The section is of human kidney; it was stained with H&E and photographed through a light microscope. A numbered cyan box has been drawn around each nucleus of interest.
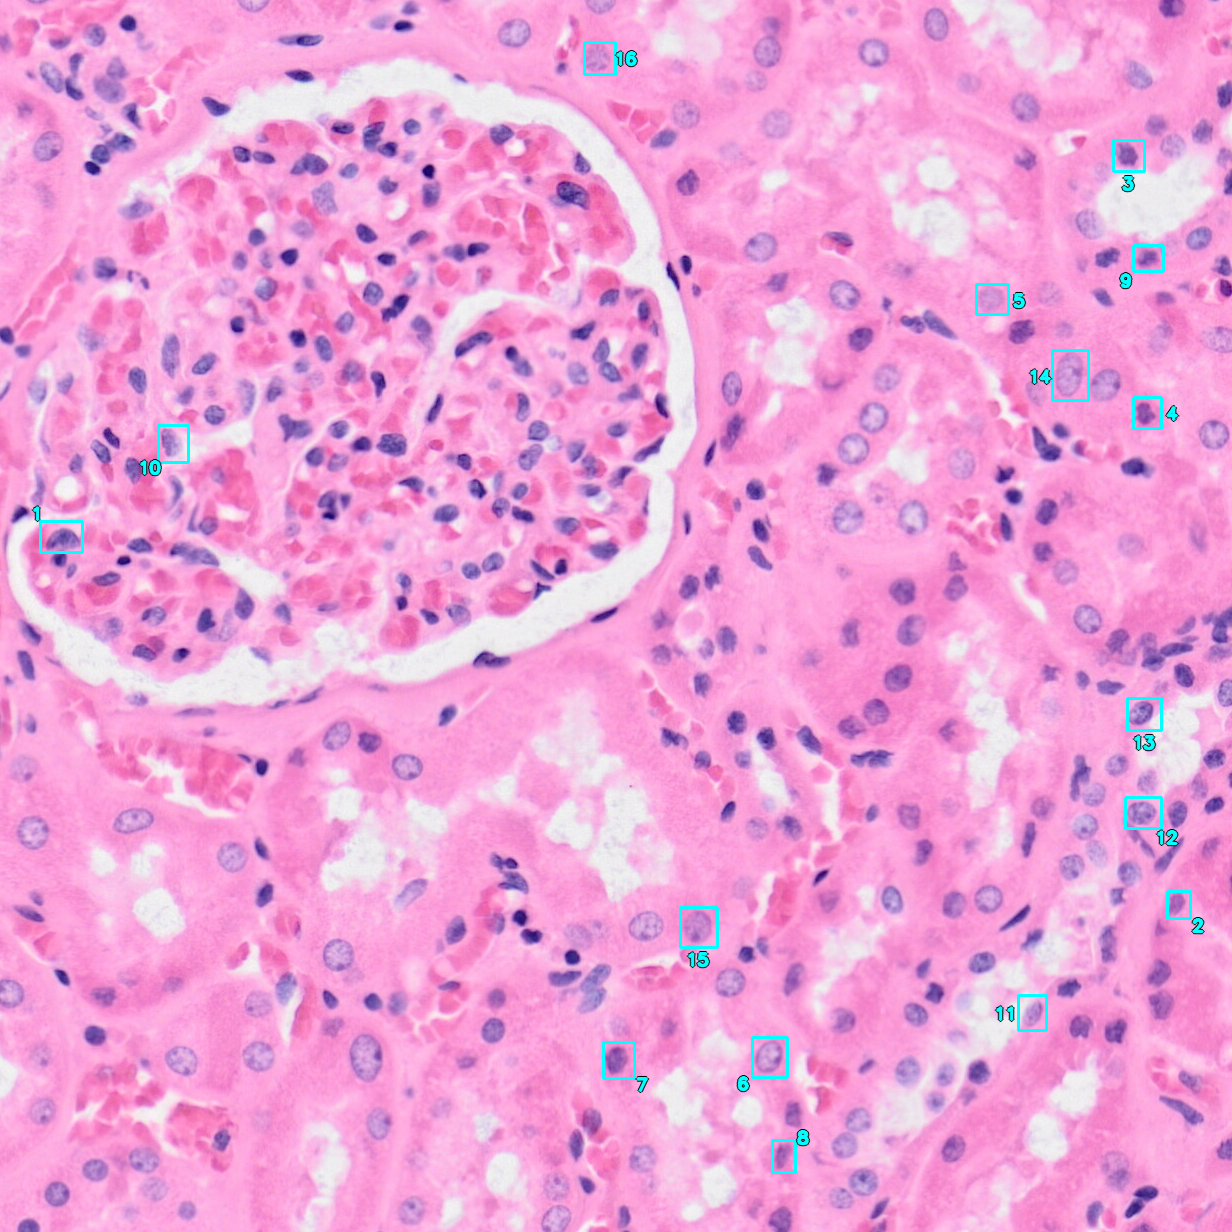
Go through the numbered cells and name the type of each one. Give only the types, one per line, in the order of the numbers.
endothelial cell
proximal tubule cell
loop of Henle or distal tubule cell
proximal tubule cell
proximal tubule cell
proximal tubule cell
proximal tubule cell
proximal tubule cell
loop of Henle or distal tubule cell
endothelial cell
loop of Henle or distal tubule cell
loop of Henle or distal tubule cell
loop of Henle or distal tubule cell
proximal tubule cell
proximal tubule cell
proximal tubule cell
